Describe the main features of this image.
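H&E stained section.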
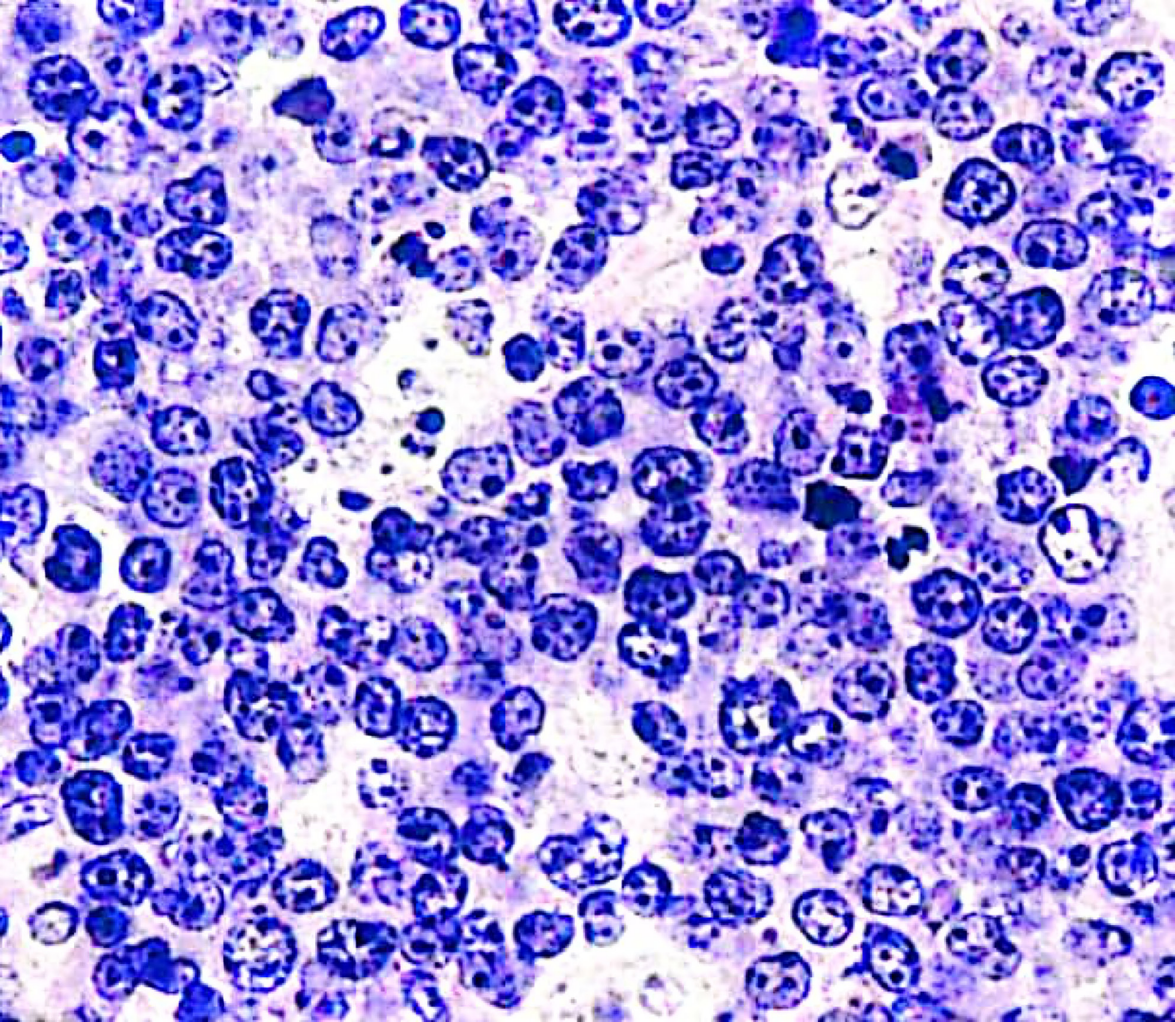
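This field shows sheets of monomorphic medium-sized lymphocytes packed closely together. Their nuclei are round to oval, of fairly uniform size, with coarse, clumped dark blue-purple chromatin and several small nucleoli. Scattered among them are small, very dense dark fragments. Paler spaces with finely granular material break up the sheet in places.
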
